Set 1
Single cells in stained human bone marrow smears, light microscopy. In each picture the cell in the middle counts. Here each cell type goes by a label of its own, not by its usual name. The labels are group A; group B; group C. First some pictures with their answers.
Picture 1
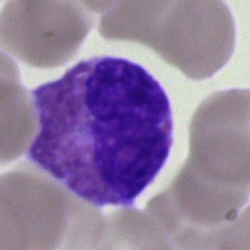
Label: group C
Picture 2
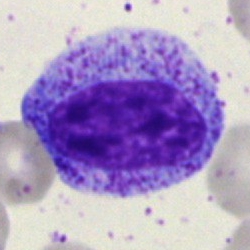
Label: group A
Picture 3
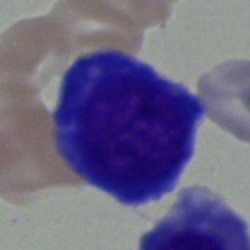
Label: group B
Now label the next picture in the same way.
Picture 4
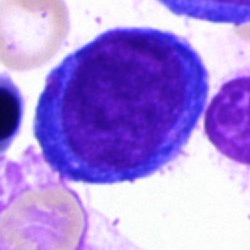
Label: group B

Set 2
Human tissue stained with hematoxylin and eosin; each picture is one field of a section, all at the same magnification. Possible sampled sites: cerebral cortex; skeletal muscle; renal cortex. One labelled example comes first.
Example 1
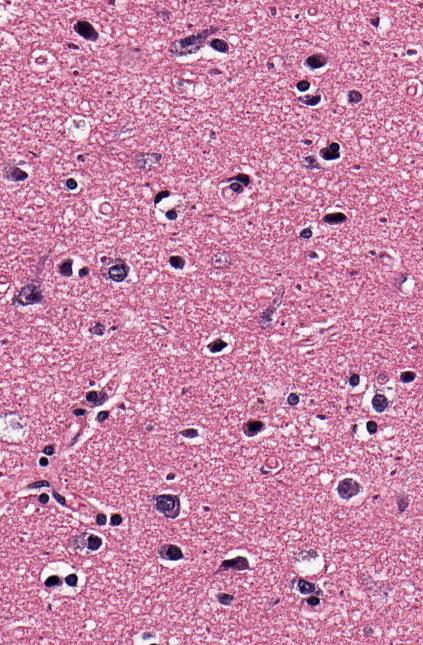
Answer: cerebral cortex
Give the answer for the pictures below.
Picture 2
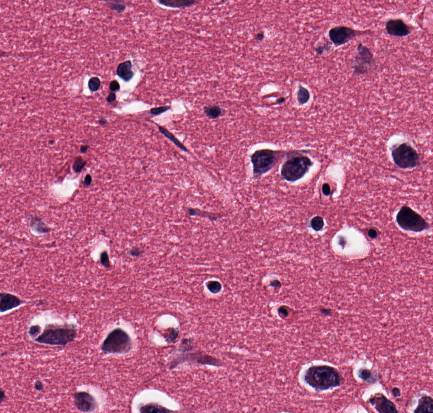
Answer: cerebral cortex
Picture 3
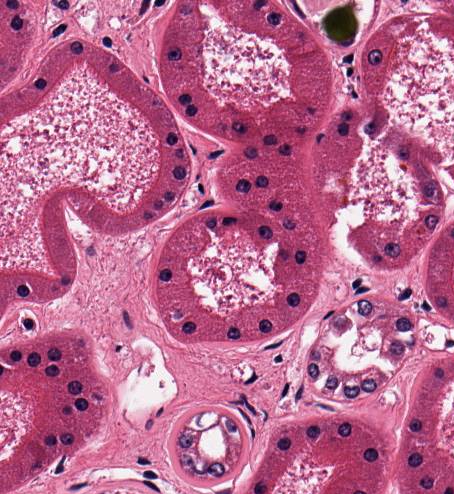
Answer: renal cortex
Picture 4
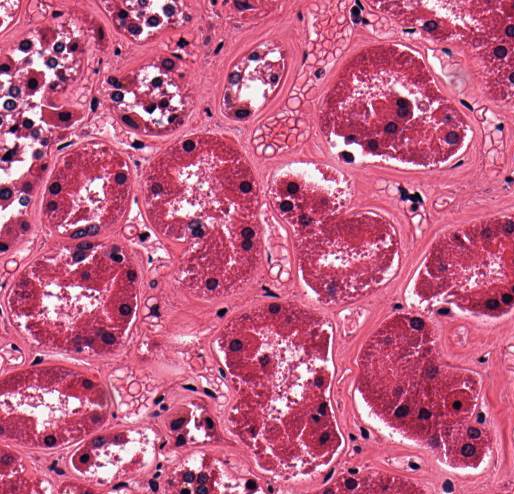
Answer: renal cortex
